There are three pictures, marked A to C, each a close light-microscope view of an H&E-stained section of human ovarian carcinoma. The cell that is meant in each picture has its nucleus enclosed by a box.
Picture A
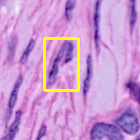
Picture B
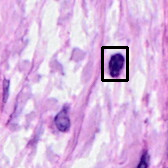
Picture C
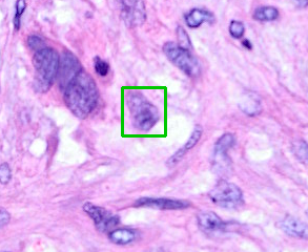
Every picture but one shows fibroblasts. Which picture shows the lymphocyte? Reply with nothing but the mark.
B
